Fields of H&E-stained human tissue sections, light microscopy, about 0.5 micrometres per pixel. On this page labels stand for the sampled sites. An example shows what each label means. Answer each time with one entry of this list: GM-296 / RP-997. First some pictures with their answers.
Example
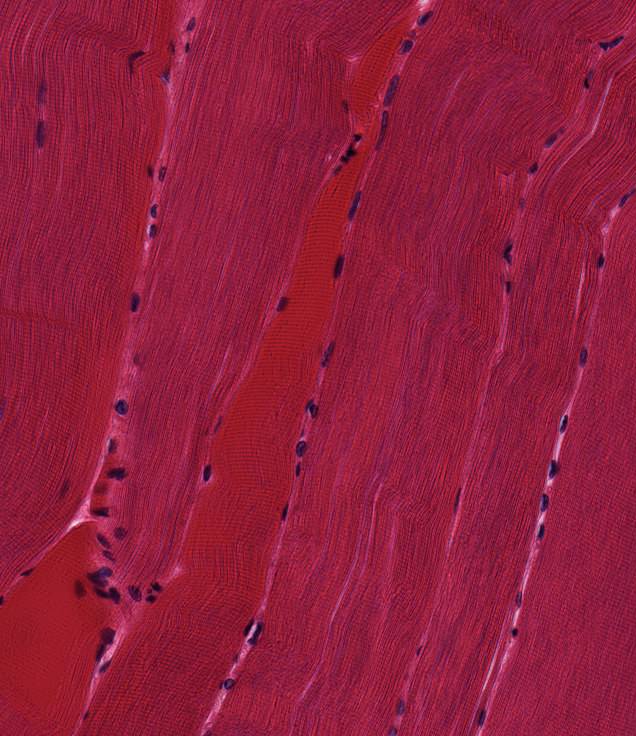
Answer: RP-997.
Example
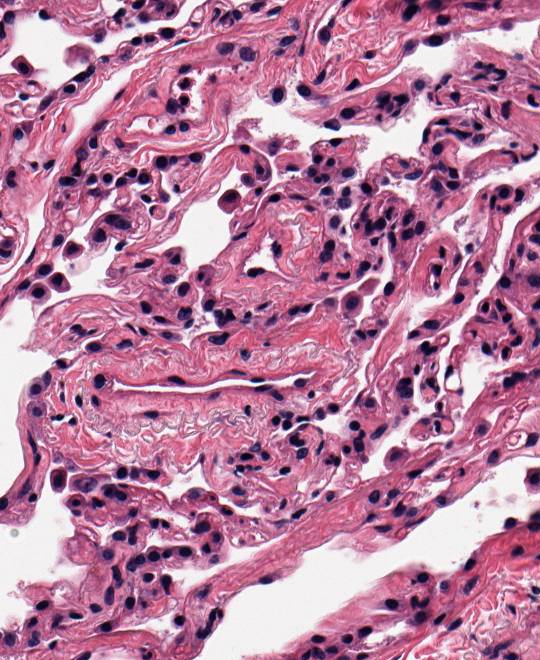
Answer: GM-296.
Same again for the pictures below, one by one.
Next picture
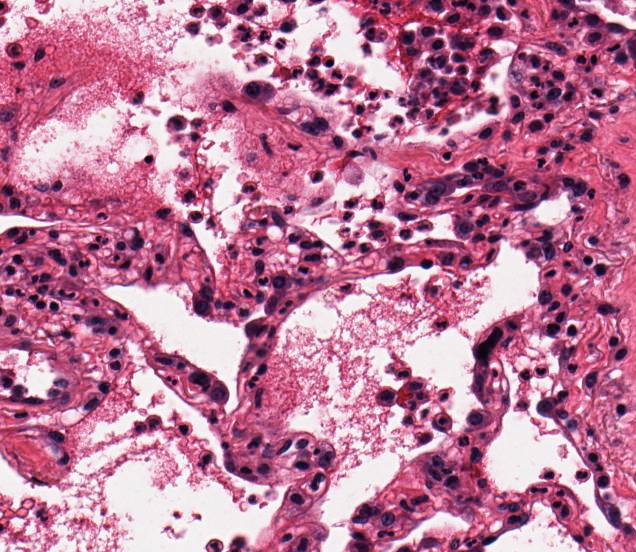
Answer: GM-296.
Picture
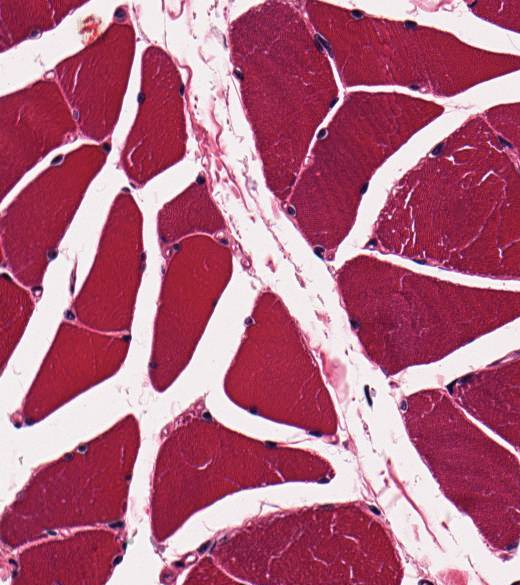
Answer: RP-997.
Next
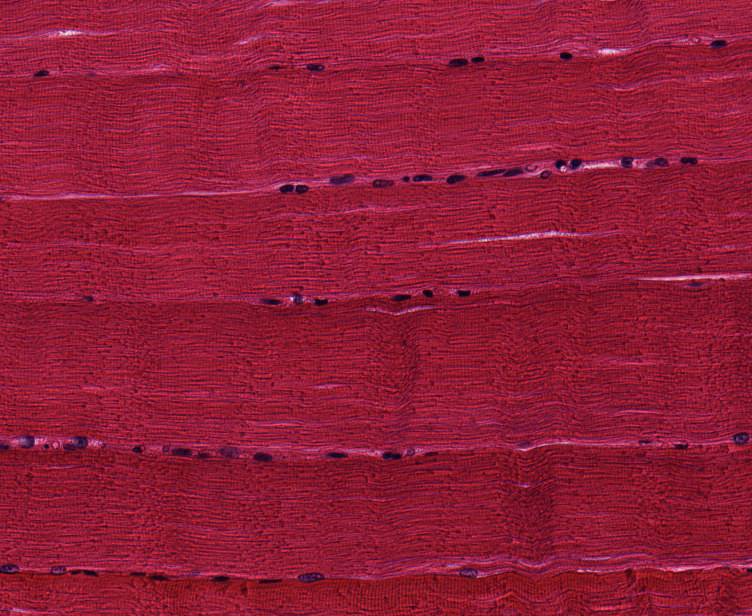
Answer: RP-997.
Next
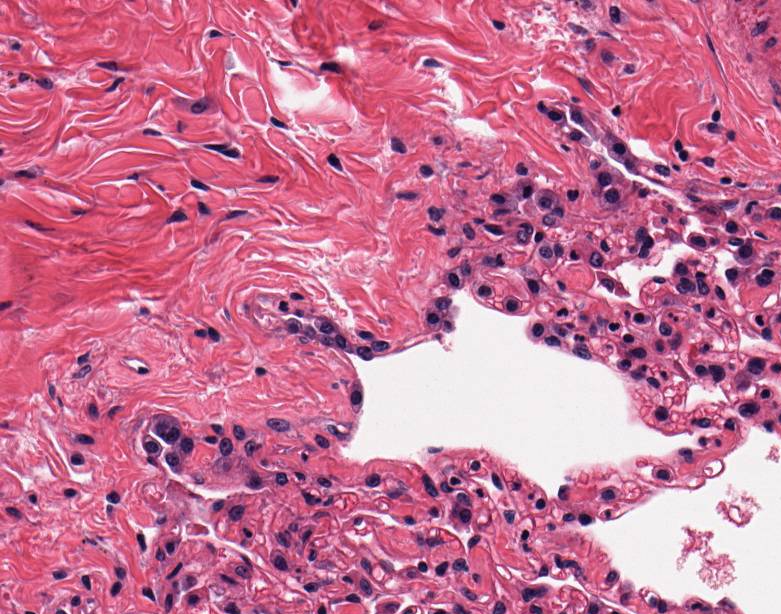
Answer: GM-296.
